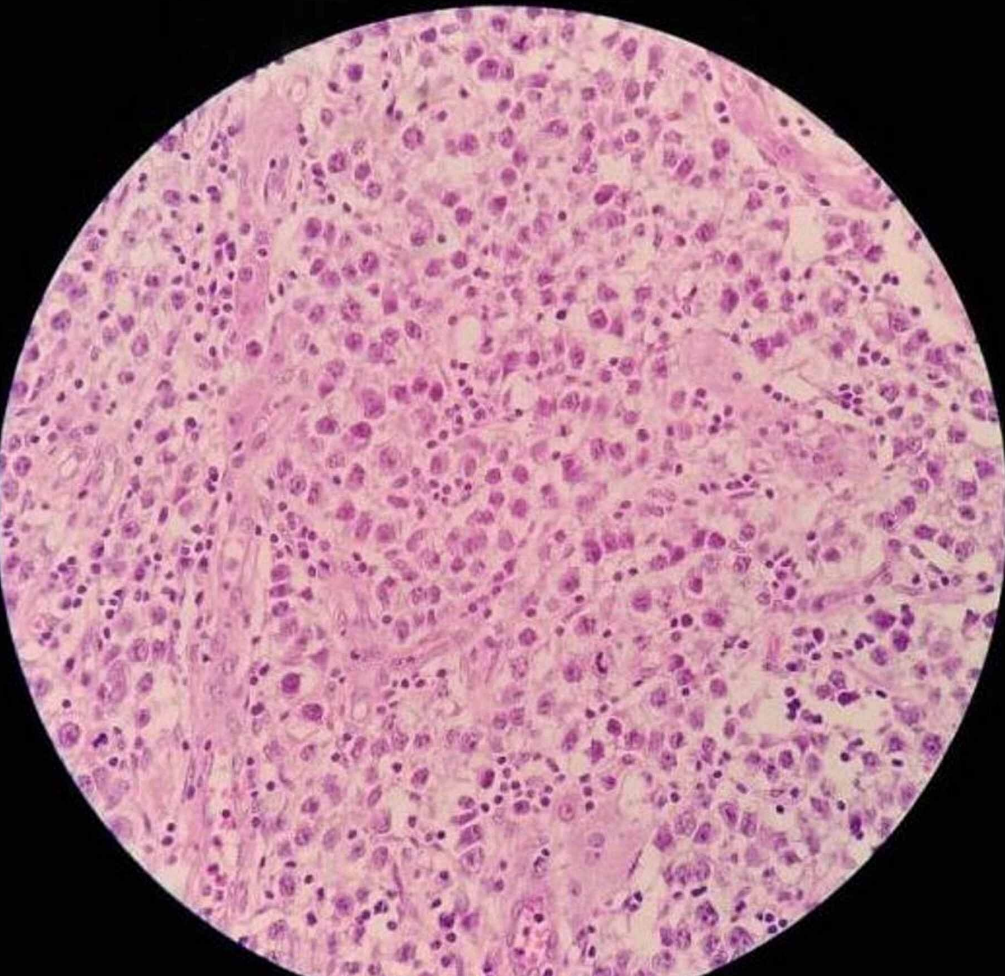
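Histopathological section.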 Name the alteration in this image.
Testicular seminoma.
